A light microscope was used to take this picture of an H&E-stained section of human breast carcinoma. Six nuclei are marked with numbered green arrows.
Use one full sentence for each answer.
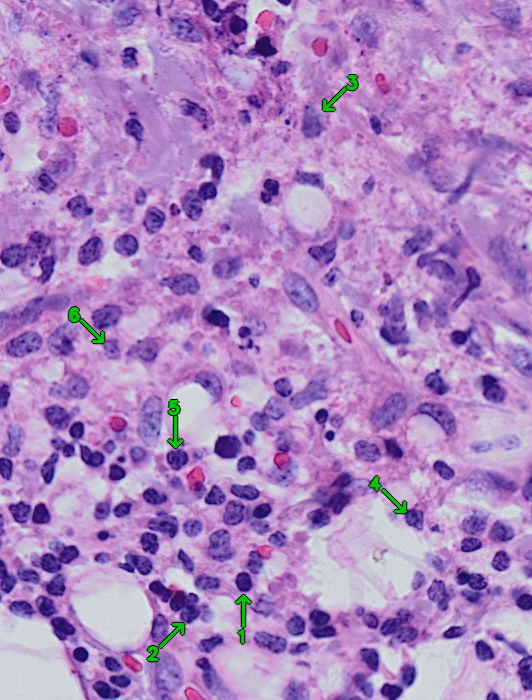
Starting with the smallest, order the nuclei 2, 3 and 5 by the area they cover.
By area, going up from the smallest, they rank 2, 5, 3.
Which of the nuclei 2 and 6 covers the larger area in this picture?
The larger nucleus is 6, at roughly 1.5 times the area of 2.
